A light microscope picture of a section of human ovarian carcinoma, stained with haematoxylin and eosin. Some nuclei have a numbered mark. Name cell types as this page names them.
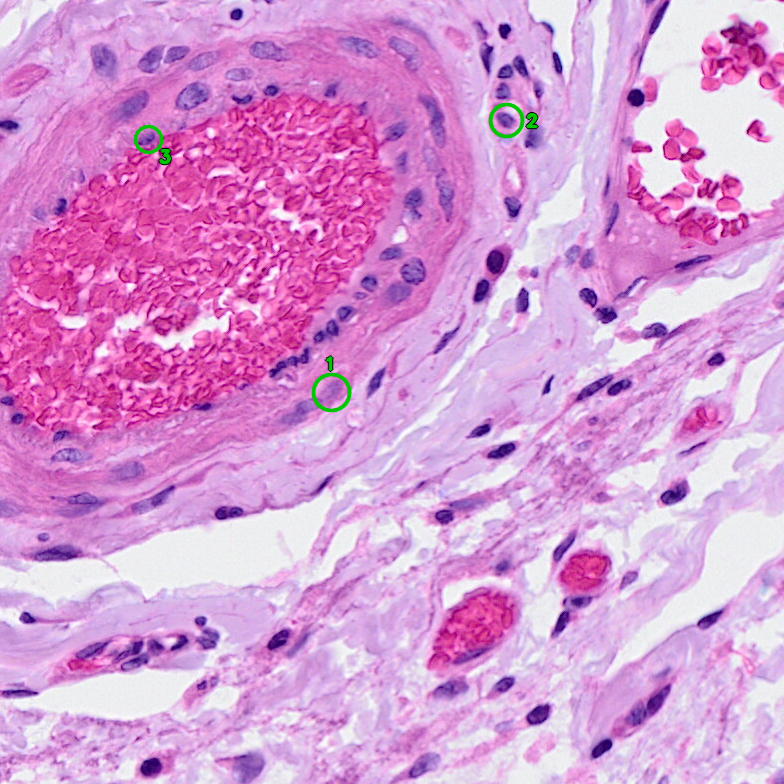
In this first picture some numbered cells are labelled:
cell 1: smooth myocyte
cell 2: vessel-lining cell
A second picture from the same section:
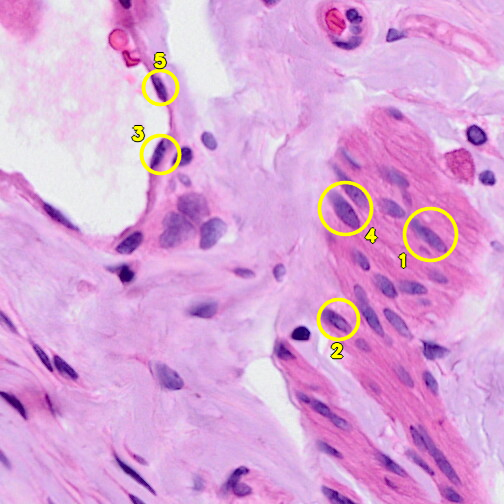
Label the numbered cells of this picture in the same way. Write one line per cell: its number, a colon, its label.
1: smooth myocyte
2: smooth myocyte
3: vessel-lining cell
4: smooth myocyte
5: vessel-lining cell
